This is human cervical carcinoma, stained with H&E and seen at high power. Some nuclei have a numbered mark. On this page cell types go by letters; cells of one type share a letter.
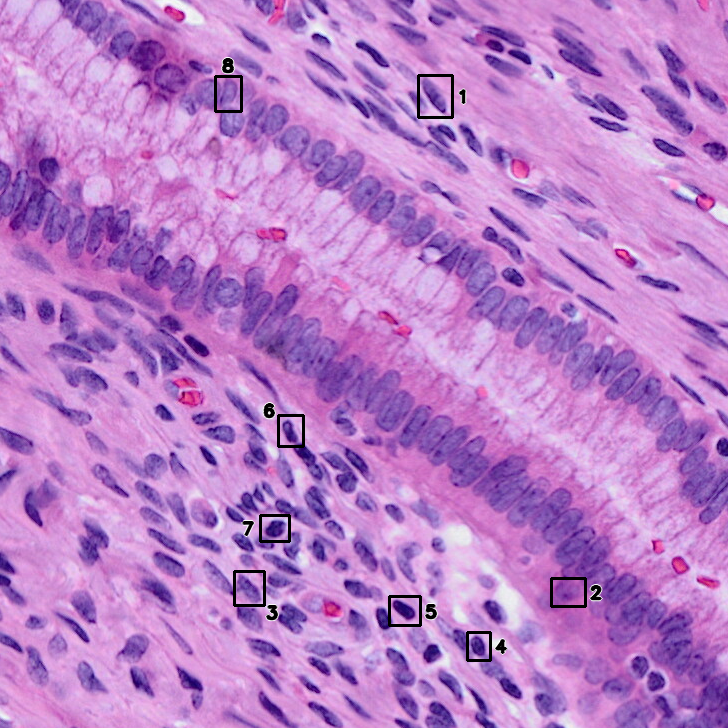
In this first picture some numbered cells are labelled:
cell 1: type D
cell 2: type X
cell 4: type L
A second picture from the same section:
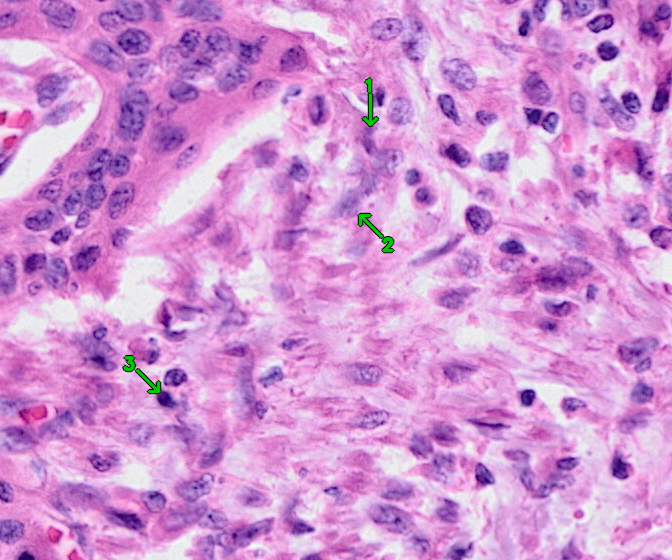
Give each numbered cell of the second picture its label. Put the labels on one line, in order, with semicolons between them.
type D; type D; type L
